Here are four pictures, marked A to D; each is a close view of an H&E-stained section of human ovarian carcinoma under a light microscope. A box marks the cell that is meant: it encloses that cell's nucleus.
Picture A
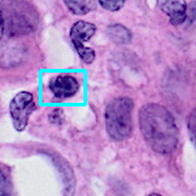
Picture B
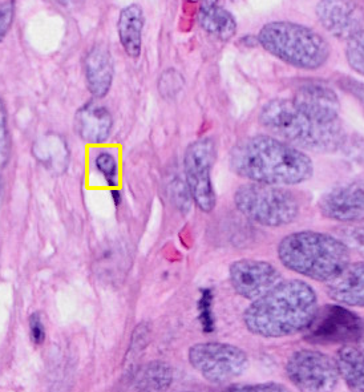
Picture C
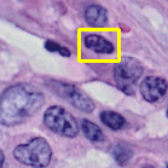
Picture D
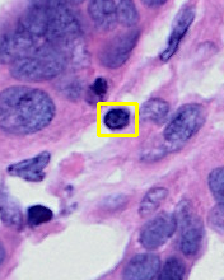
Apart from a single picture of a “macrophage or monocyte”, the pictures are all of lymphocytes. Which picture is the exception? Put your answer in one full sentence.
The “macrophage or monocyte” is the one in picture B.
